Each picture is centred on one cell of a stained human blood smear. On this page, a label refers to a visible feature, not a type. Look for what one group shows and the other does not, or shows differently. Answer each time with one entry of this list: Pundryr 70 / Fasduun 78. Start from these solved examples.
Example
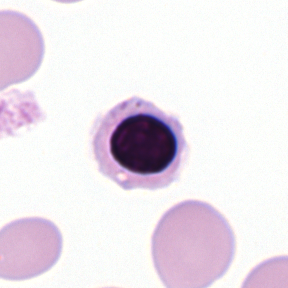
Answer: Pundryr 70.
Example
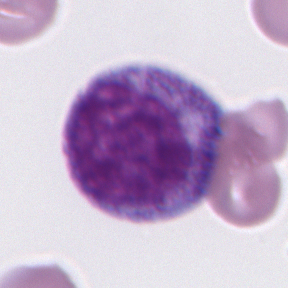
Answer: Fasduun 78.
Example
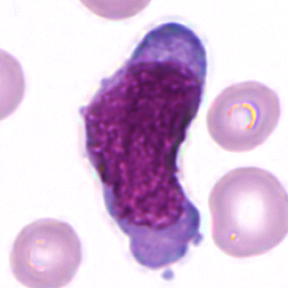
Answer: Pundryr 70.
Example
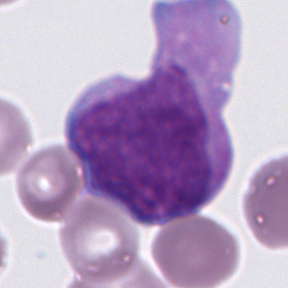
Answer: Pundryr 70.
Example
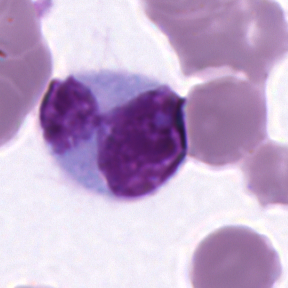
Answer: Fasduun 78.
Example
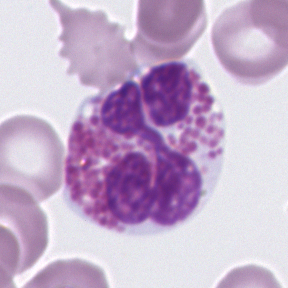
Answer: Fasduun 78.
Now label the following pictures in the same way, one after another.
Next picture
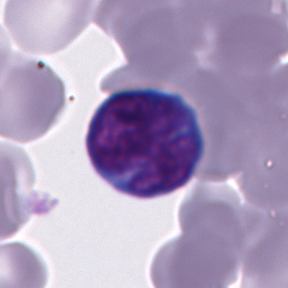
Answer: Fasduun 78.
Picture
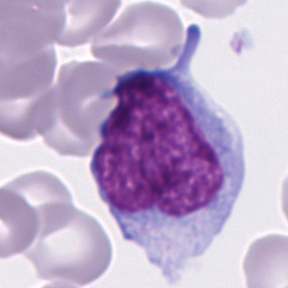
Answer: Pundryr 70.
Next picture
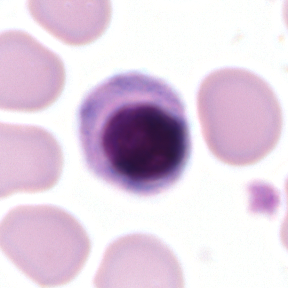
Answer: Fasduun 78.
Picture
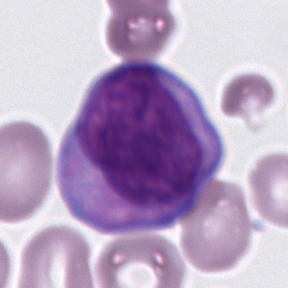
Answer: Fasduun 78.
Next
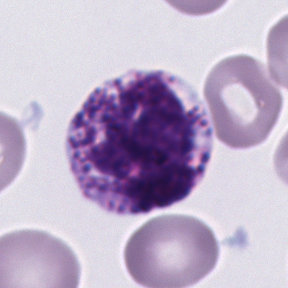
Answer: Fasduun 78.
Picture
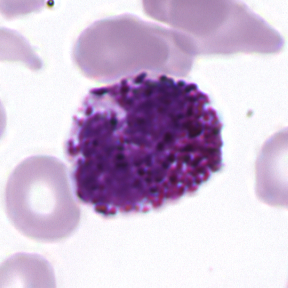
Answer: Pundryr 70.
